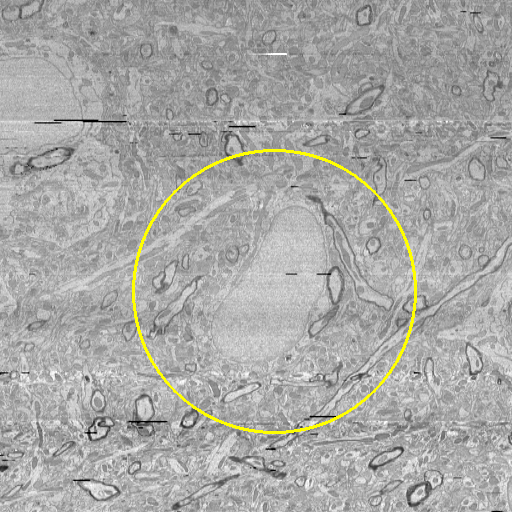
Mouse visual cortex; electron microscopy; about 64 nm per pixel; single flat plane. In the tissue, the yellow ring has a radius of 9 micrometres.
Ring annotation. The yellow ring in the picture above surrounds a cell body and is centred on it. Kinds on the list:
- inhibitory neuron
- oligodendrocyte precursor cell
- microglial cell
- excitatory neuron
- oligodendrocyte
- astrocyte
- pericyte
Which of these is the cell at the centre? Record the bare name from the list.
astrocyte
